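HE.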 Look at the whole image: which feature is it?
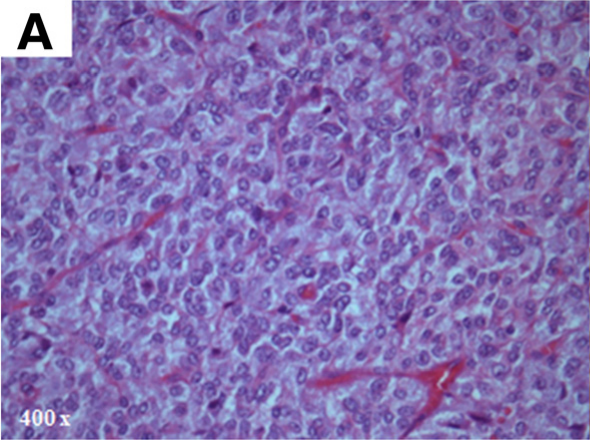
Zellballen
